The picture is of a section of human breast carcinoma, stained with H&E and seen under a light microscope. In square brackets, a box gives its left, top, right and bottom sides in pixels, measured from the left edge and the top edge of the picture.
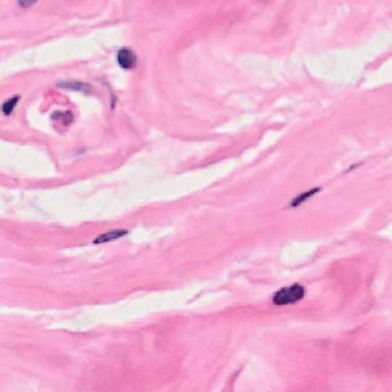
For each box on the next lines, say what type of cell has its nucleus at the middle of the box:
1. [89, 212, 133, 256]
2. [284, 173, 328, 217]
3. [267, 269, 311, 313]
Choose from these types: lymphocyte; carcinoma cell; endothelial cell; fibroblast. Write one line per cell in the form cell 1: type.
cell 1: fibroblast
cell 2: fibroblast
cell 3: lymphocyte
